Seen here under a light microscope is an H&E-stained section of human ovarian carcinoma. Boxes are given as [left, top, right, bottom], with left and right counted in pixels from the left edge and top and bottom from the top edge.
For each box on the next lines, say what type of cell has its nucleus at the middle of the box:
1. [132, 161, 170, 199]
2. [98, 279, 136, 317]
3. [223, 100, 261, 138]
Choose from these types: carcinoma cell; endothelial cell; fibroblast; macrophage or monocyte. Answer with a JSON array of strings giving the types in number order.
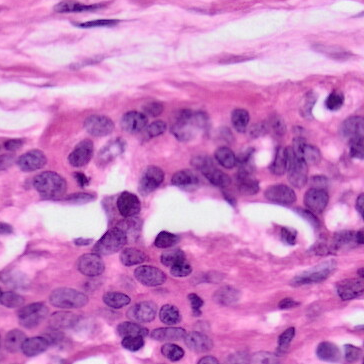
["carcinoma cell", "carcinoma cell", "macrophage or monocyte"]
